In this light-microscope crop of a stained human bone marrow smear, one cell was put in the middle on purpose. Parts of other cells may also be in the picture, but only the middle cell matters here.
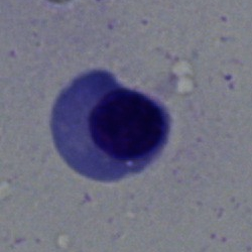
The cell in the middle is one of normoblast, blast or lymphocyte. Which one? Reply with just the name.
normoblast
